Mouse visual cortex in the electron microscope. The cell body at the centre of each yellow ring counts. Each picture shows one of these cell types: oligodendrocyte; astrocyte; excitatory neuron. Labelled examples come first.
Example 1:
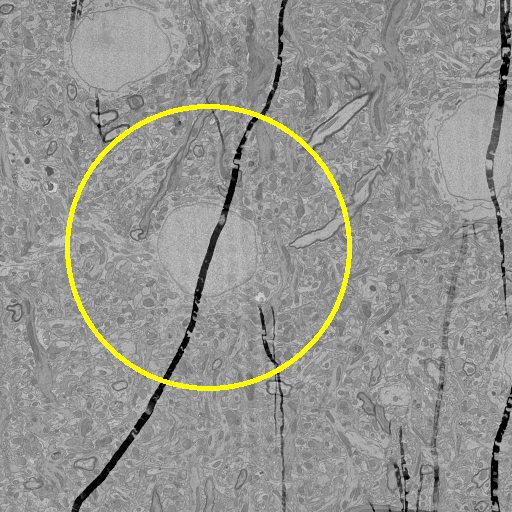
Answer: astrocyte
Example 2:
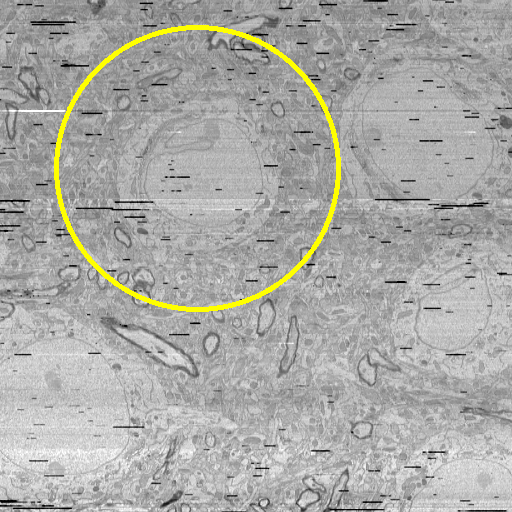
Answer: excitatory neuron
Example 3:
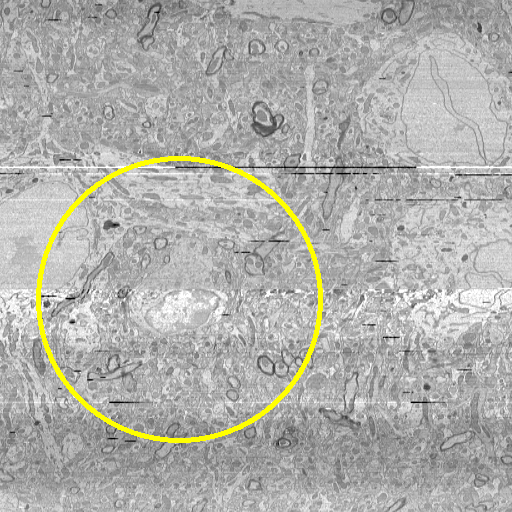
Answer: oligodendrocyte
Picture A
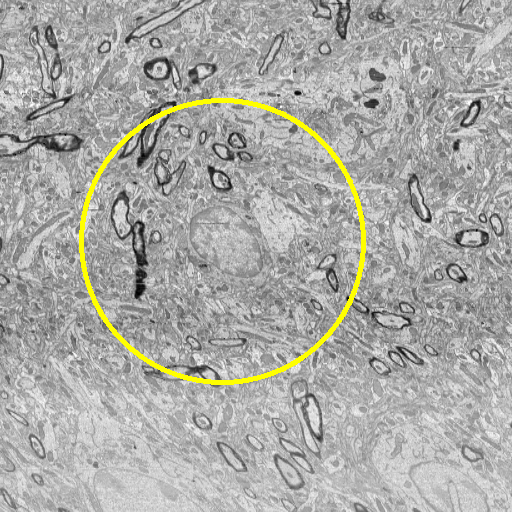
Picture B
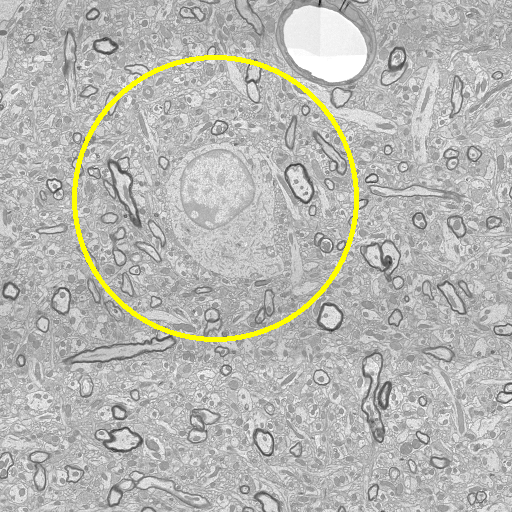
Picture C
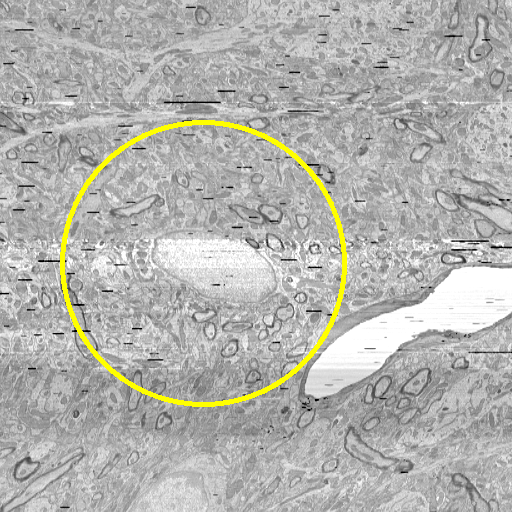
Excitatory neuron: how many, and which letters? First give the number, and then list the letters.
0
